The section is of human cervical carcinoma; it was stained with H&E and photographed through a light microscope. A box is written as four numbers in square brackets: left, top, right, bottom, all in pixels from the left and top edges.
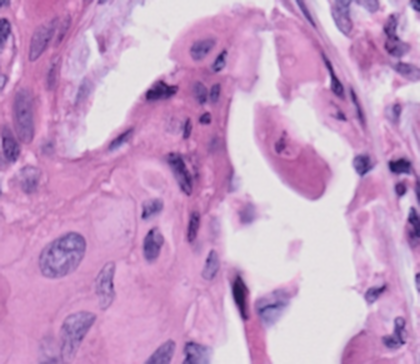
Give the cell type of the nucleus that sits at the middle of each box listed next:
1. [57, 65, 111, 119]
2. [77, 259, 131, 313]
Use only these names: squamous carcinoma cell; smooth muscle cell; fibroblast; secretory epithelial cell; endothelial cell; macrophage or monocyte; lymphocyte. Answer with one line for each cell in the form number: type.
1: fibroblast
2: squamous carcinoma cell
